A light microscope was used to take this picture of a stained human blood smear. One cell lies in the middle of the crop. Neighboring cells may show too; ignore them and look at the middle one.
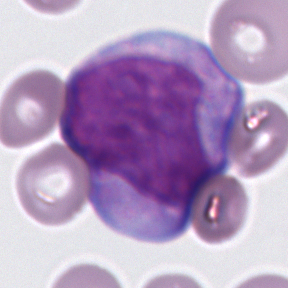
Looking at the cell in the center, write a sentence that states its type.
The cell sitting right in the middle is an atypical promyelocyte.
